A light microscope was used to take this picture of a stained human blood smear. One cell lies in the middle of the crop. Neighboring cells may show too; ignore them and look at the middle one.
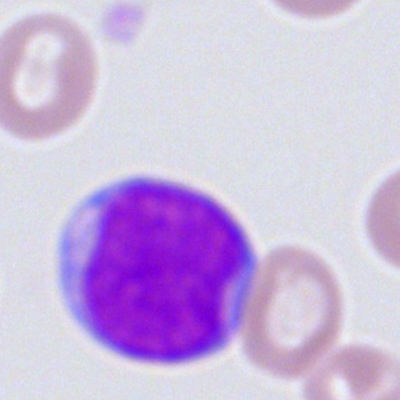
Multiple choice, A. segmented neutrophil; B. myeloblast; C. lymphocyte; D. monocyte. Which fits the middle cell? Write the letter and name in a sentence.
In the centre of the crop there is a myeloblast, making option B correct.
